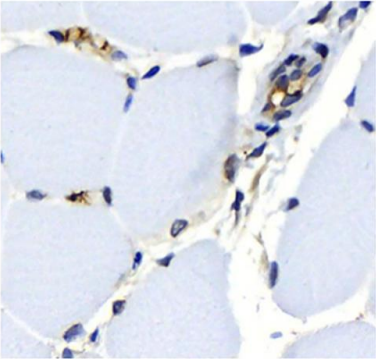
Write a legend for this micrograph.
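This is a cross-section of skeletal muscle, showing large, pale blue-grey polygonal muscle fibers separated by thin white spaces of connective tissue. Small, flattened, dark blue nuclei sit at the edges of the fibers, pressed against their borders, as myonuclei do. Between the fibers lie more nuclei in the interstitial spaces, some gathered in small clusters. The fiber interiors themselves are evenly pale and carry no brown.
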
